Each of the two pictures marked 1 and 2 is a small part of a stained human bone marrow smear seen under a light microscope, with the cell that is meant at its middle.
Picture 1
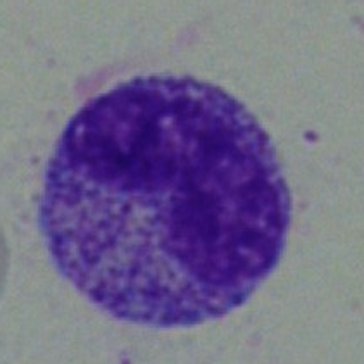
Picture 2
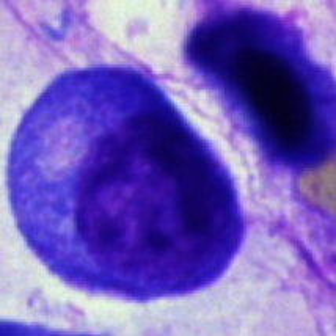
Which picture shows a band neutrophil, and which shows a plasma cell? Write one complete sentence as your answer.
Picture 2 shows a plasma cell, while picture 1 shows a band neutrophil.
